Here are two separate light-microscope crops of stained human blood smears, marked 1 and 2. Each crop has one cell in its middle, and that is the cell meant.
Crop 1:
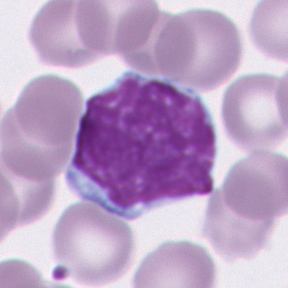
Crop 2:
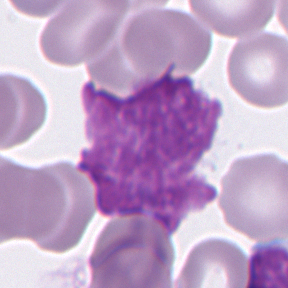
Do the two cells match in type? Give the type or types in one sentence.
No, crop 1 presents a typical lymphocyte; crop 2 presents a smudge cell.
